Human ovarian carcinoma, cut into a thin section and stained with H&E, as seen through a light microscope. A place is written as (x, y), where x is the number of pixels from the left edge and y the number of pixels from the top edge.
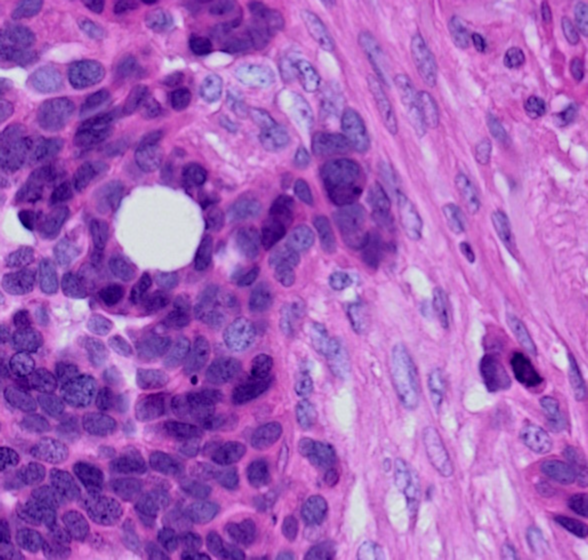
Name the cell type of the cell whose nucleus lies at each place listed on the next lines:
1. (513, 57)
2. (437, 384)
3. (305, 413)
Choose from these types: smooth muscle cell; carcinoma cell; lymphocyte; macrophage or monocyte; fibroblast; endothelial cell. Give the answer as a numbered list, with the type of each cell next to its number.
1. macrophage or monocyte
2. fibroblast
3. fibroblast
